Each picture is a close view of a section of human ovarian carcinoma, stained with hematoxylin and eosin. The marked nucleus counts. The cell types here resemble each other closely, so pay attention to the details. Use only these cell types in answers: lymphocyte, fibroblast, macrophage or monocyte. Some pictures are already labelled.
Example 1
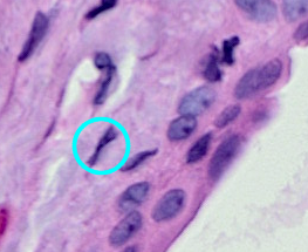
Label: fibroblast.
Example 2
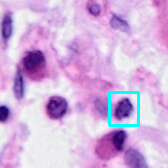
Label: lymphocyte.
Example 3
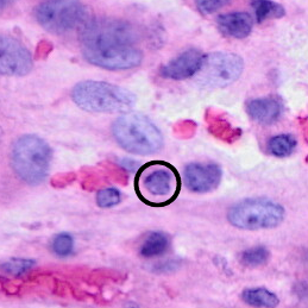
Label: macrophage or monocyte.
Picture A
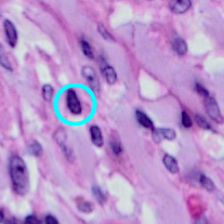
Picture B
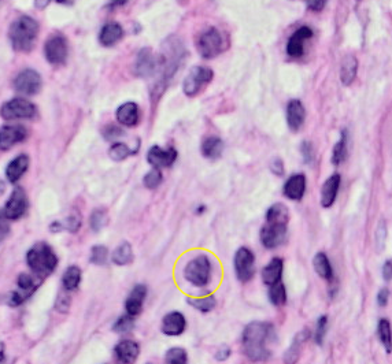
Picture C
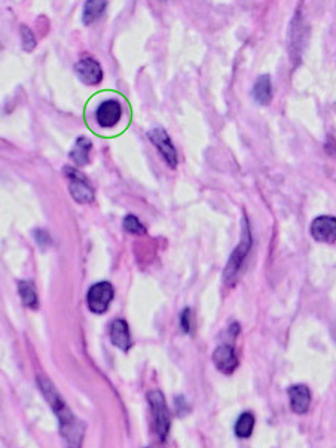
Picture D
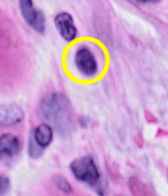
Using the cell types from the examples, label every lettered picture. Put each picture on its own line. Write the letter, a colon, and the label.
A: lymphocyte.
B: lymphocyte.
C: lymphocyte.
D: lymphocyte.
